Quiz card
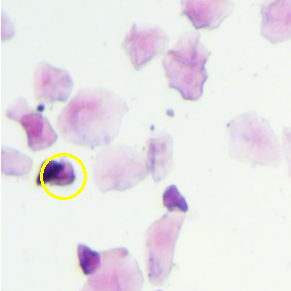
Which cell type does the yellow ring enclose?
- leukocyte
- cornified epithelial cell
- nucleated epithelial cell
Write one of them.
nucleated epithelial cell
